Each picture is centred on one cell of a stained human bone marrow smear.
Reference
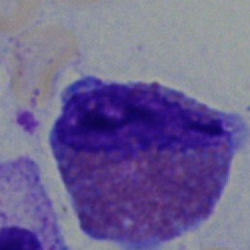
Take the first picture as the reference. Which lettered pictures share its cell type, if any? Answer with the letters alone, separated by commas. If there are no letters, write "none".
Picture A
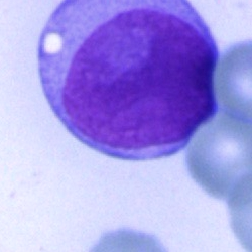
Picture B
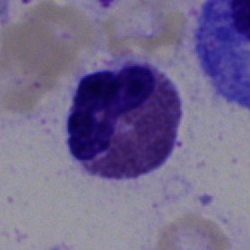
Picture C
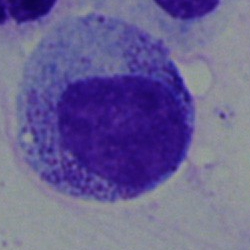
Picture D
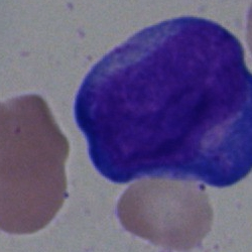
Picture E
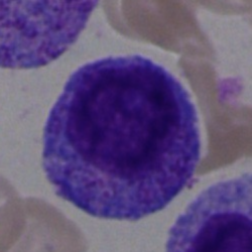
B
